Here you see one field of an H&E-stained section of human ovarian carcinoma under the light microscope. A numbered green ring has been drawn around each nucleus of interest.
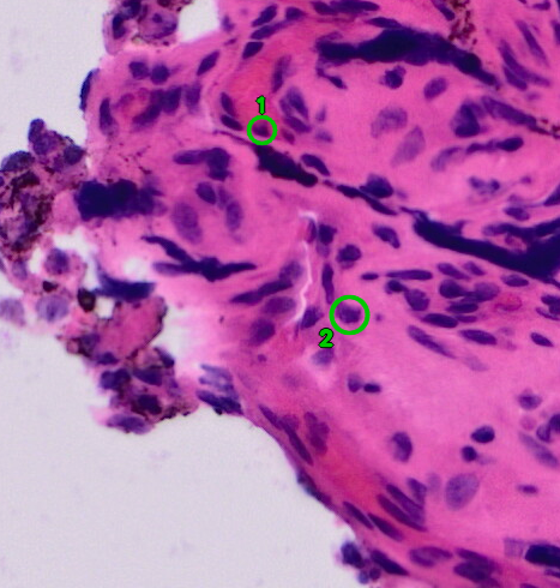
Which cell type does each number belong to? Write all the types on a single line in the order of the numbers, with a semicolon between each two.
endothelial cell; fibroblast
